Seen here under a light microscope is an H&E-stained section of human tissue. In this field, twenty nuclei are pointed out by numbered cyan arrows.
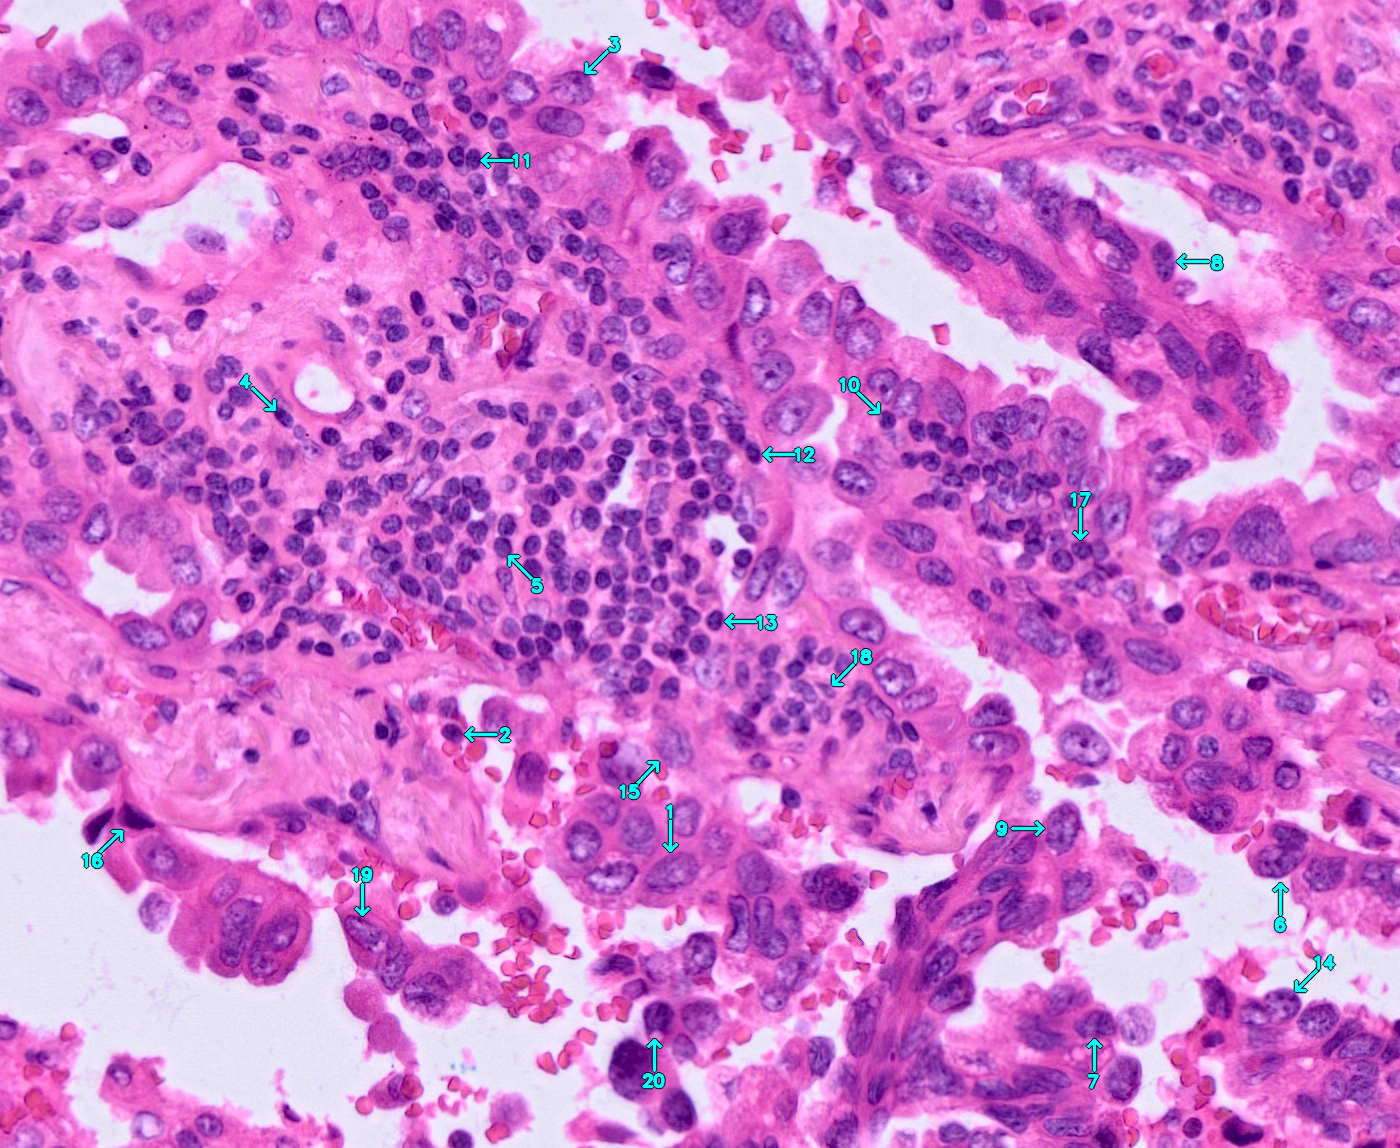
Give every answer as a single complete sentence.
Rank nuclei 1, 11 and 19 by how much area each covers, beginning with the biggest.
Largest first, the order by area is 1, 19, 11.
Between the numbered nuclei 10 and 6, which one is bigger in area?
Of the two, number 6 is bigger and takes up about 4 times the area of number 10.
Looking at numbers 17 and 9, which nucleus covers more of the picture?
Number 9 is larger; its area is about 4 times that of number 17.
